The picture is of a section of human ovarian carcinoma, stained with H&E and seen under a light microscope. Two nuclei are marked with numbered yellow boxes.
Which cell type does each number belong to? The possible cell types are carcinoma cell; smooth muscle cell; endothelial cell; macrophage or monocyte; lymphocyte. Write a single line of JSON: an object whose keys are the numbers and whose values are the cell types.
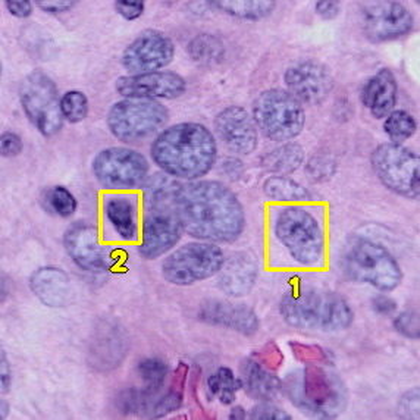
{"1": "macrophage or monocyte", "2": "lymphocyte"}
